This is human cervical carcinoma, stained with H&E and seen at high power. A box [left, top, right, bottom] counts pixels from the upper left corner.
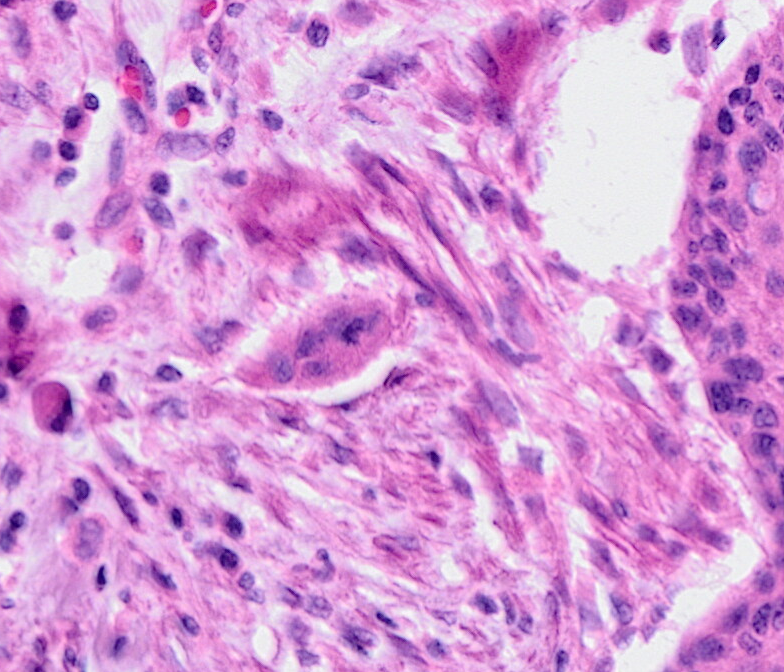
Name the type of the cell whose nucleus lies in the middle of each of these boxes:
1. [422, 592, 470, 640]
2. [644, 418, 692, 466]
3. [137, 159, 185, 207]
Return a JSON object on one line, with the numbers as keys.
{"1": "fibroblast", "2": "fibroblast", "3": "lymphocyte"}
